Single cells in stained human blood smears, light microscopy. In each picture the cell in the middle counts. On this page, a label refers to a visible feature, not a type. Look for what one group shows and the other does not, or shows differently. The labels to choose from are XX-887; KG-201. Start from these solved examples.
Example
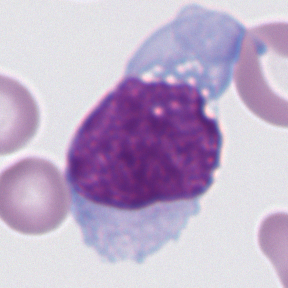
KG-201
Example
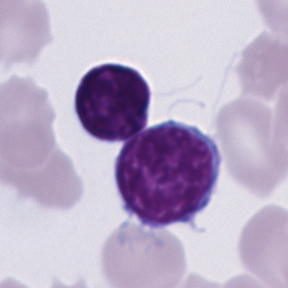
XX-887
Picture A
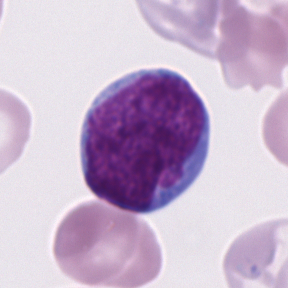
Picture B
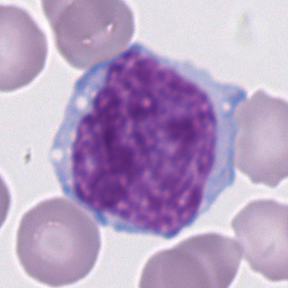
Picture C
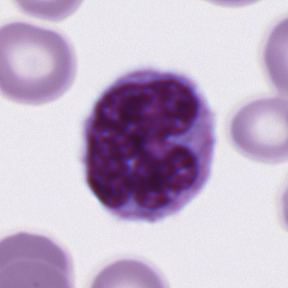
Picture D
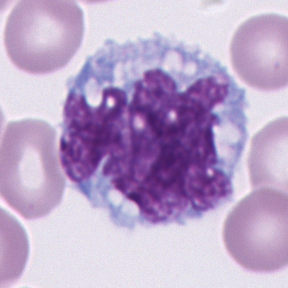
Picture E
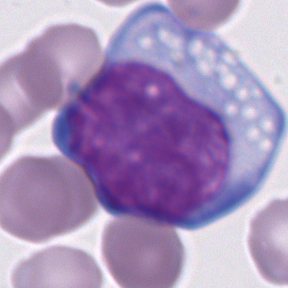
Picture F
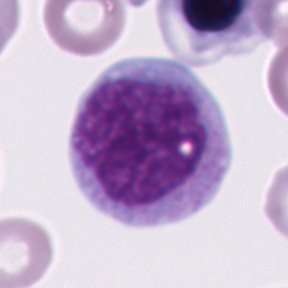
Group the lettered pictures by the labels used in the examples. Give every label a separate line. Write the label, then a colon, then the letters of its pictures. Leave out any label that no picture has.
XX-887: A, C, F
KG-201: B, D, E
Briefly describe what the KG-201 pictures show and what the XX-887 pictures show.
KG-201: vacuoles present; XX-887: no vacuoles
